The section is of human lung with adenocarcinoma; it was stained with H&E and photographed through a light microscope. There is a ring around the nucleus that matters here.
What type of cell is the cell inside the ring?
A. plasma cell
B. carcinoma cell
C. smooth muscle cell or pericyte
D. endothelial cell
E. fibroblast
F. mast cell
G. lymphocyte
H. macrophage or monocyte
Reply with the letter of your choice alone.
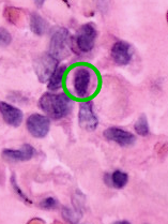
A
